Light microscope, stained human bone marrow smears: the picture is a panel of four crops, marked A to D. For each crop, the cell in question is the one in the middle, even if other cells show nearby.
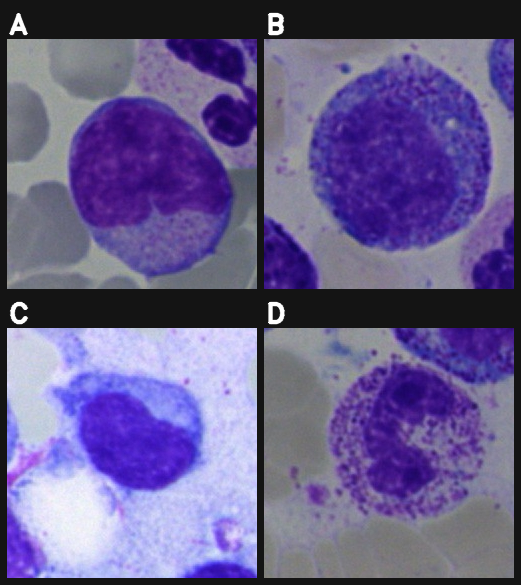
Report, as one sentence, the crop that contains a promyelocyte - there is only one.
The one showing a promyelocyte is the crop labelled B.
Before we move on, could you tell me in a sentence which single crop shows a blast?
It is crop A, not any other, that shows a blast.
